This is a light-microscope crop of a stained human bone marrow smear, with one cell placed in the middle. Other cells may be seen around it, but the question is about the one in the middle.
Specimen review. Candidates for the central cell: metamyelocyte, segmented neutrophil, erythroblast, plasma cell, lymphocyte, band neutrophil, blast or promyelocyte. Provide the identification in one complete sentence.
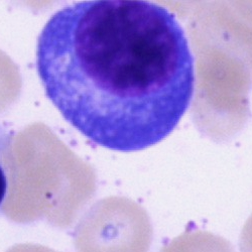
The middle position in this crop is taken by a plasma cell.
